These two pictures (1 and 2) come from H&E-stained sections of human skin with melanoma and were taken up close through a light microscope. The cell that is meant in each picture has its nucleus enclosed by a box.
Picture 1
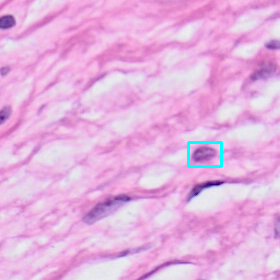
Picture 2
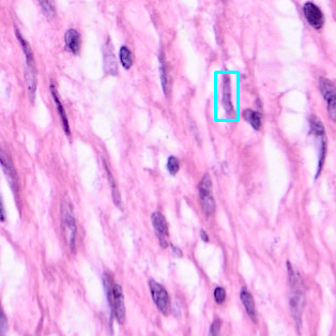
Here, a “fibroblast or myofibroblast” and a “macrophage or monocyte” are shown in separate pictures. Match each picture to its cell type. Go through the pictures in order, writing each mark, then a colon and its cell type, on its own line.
1: macrophage or monocyte
2: fibroblast or myofibroblast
